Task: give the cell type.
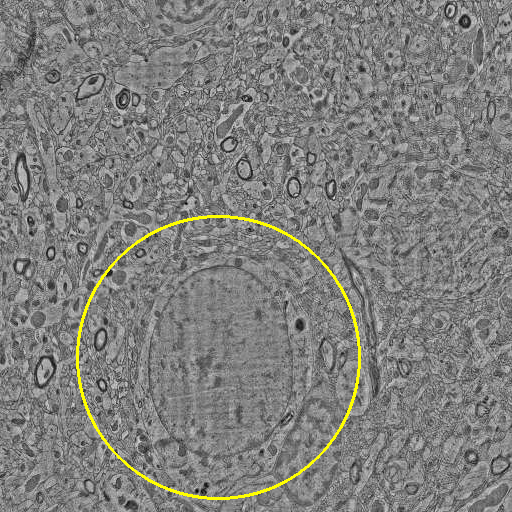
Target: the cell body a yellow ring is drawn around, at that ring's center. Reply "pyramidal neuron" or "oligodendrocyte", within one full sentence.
In this picture, the cell whose body lies at the ring's center is a pyramidal neuron.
